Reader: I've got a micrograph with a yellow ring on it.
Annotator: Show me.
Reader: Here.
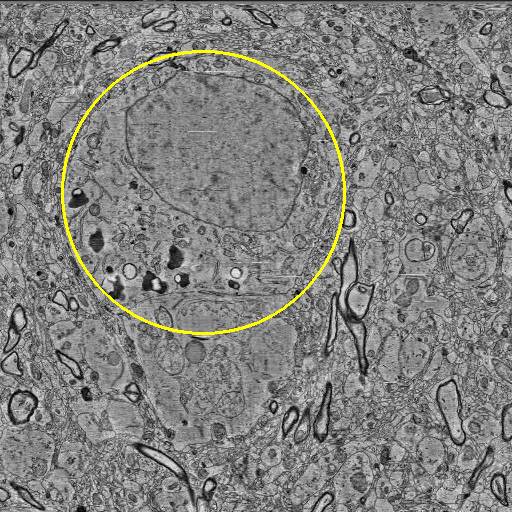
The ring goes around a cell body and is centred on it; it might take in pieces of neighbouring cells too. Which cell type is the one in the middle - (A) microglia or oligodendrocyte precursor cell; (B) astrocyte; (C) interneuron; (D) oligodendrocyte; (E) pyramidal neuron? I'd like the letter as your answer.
E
